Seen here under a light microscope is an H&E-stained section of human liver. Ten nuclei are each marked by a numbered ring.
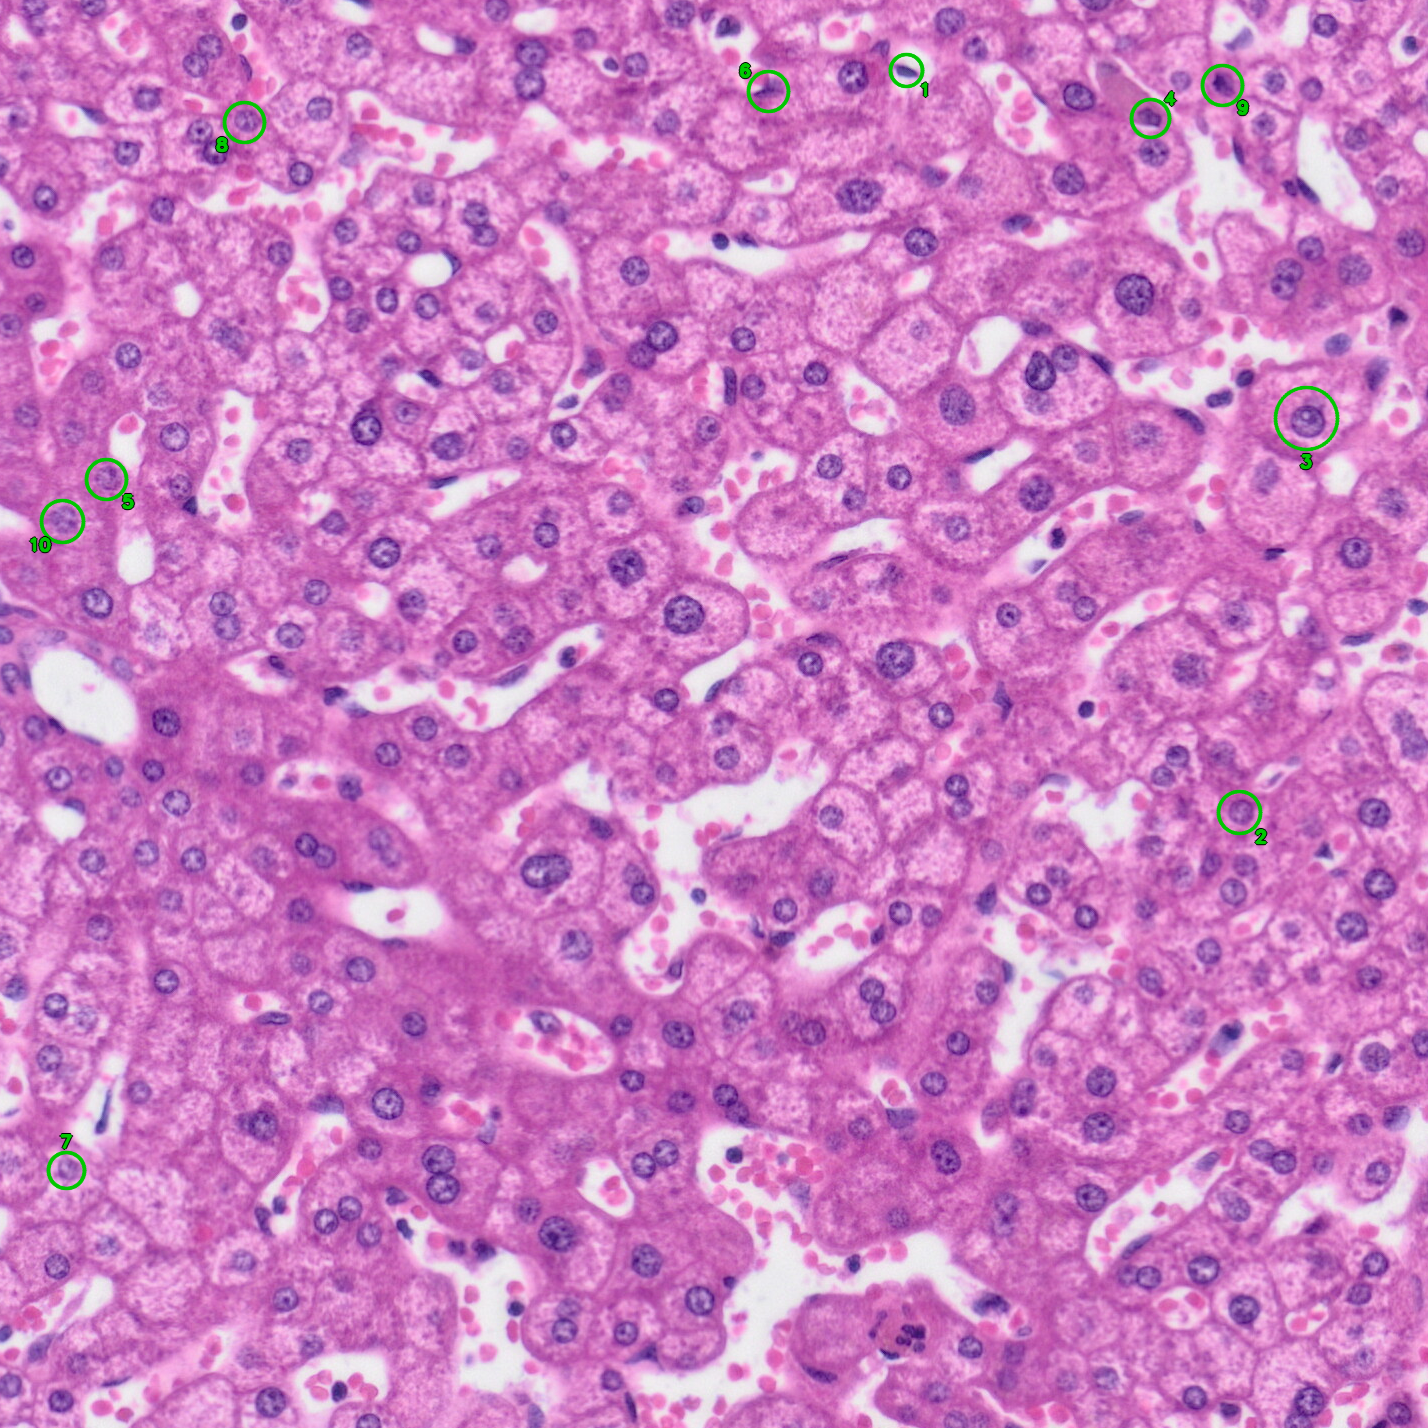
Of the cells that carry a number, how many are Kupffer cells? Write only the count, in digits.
1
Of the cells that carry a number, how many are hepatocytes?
6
